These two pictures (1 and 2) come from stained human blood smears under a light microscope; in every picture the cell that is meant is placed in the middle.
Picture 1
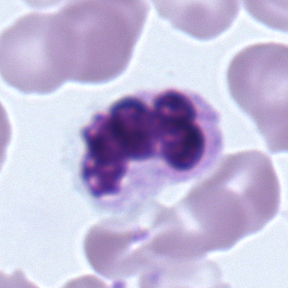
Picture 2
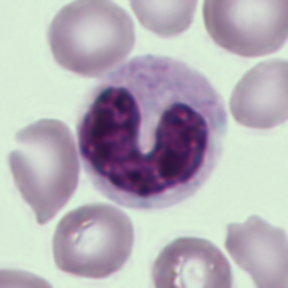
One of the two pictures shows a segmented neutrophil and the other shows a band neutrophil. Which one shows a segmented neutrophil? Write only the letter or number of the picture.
1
